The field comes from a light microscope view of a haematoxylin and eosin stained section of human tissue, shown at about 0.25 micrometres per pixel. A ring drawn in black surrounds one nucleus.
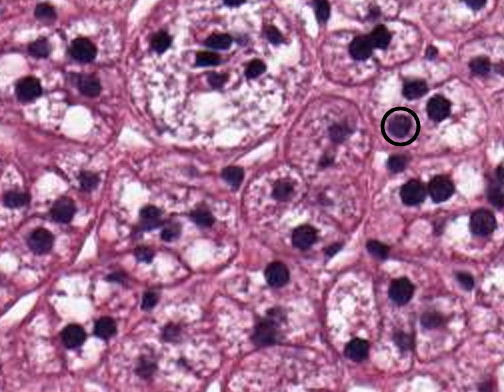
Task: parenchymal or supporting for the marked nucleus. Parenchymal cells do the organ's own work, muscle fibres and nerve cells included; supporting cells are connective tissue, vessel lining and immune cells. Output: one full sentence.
The marked nucleus belongs to a cell of the parenchyma, namely an adrenal cortical cell.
